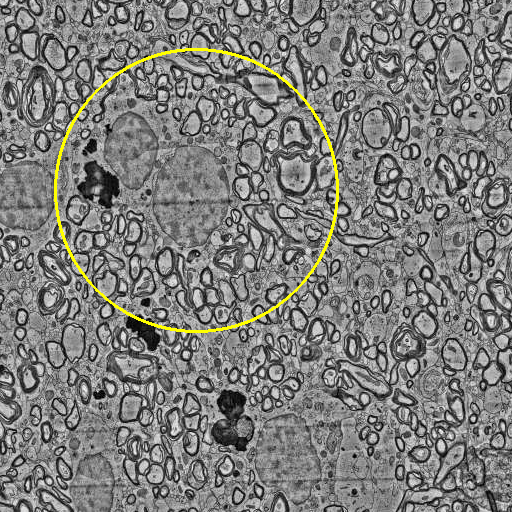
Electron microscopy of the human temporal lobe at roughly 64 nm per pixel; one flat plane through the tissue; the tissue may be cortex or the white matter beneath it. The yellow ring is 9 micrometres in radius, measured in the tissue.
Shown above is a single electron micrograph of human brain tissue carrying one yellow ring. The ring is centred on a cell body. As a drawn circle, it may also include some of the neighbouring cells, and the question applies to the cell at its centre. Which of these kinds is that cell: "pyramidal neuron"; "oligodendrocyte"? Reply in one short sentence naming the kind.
The cell marked by the ring is an oligodendrocyte.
